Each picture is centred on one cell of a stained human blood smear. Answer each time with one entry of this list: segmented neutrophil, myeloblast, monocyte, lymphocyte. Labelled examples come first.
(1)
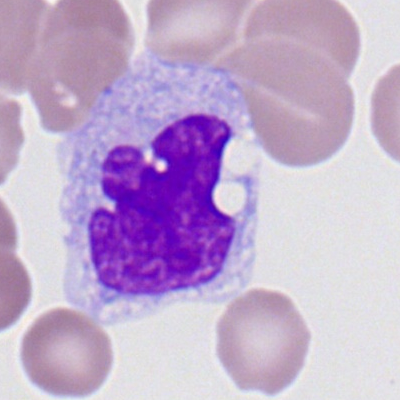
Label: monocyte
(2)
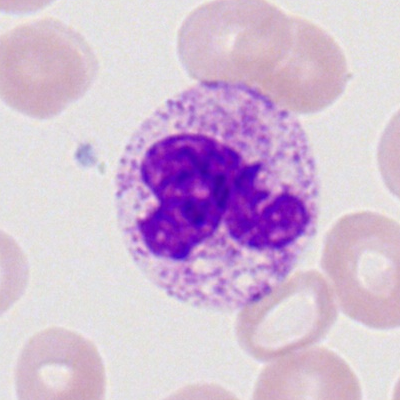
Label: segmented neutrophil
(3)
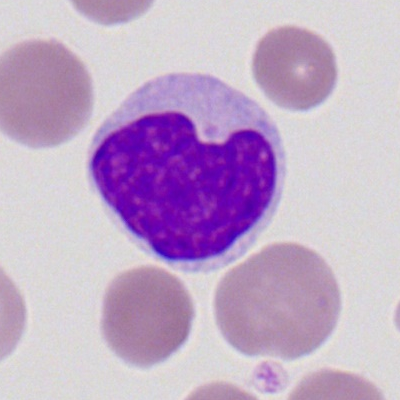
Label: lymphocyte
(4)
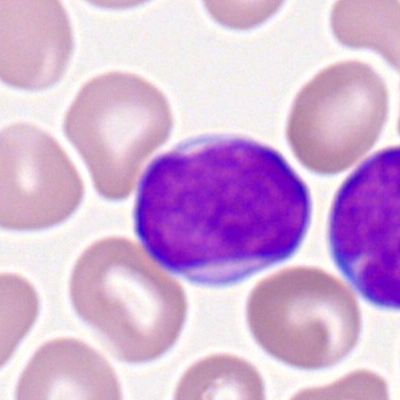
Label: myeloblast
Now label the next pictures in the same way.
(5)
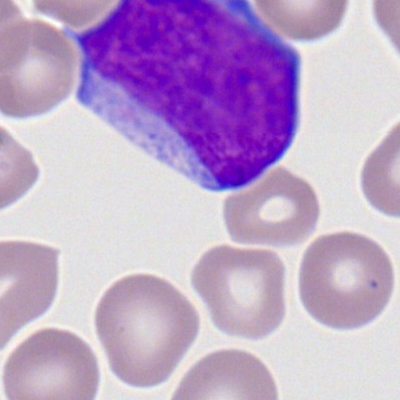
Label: myeloblast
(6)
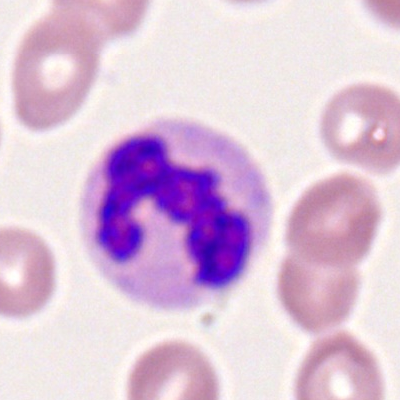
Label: segmented neutrophil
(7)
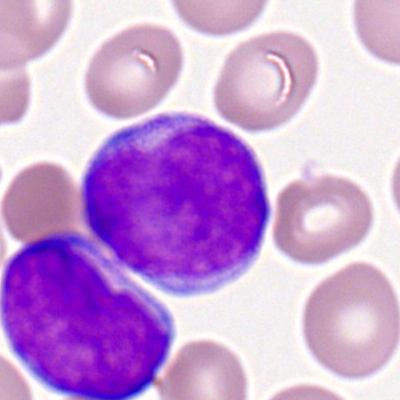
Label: myeloblast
